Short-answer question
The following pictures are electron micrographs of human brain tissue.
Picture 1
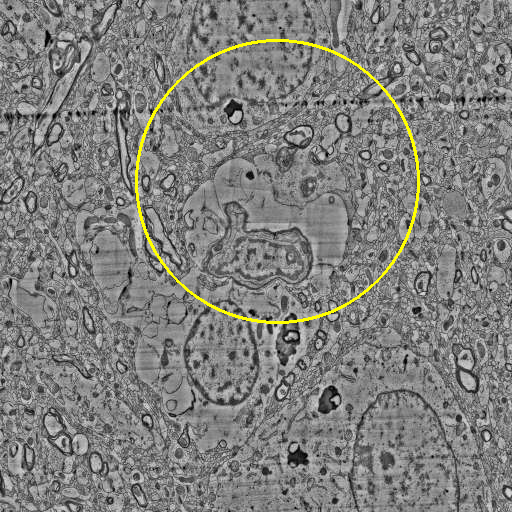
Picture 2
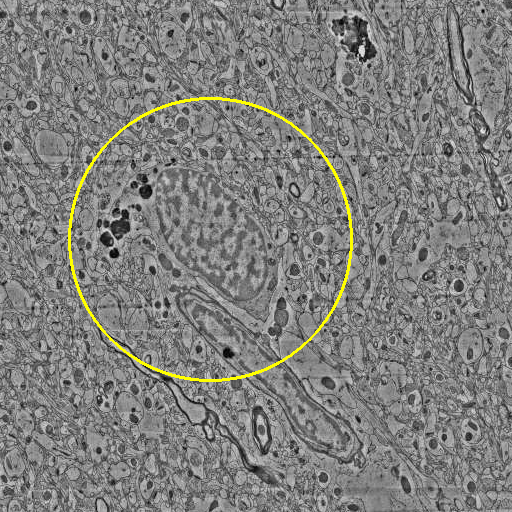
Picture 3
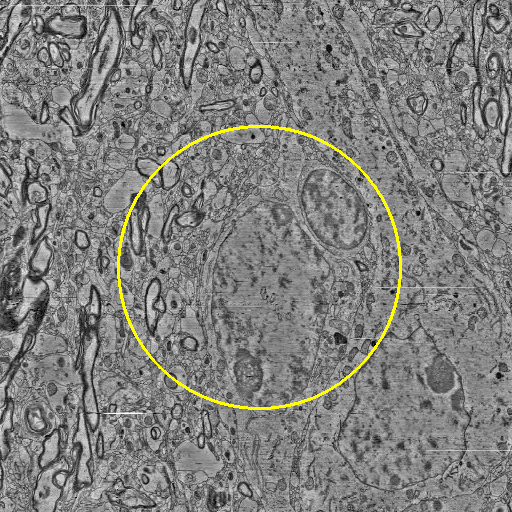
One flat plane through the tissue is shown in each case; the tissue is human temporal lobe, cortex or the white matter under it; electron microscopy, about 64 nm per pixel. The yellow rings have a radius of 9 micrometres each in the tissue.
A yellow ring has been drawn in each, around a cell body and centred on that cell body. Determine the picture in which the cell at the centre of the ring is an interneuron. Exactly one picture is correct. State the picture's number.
3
